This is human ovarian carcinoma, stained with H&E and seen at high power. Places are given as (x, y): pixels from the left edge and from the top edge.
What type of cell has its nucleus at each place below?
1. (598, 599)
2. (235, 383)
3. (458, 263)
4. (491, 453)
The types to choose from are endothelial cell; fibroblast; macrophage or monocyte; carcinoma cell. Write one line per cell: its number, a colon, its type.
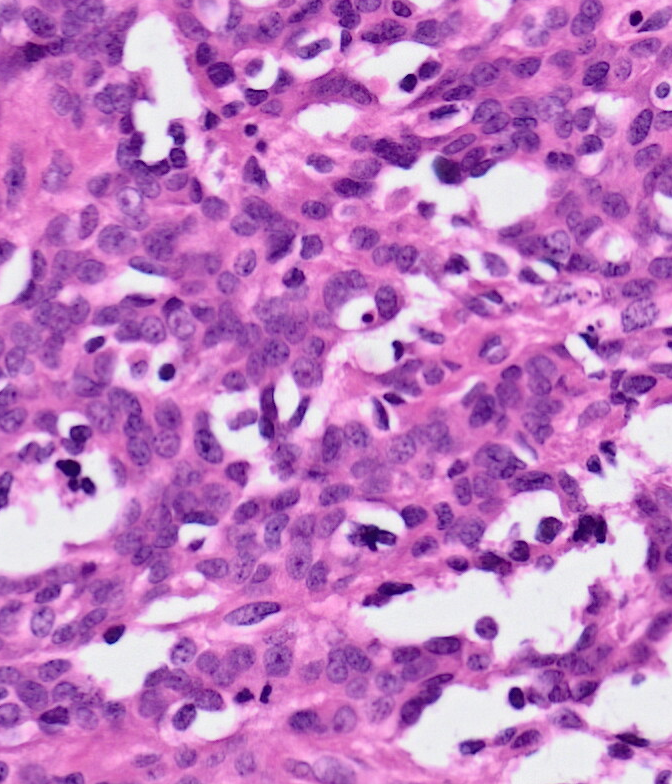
1: macrophage or monocyte
2: carcinoma cell
3: carcinoma cell
4: carcinoma cell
